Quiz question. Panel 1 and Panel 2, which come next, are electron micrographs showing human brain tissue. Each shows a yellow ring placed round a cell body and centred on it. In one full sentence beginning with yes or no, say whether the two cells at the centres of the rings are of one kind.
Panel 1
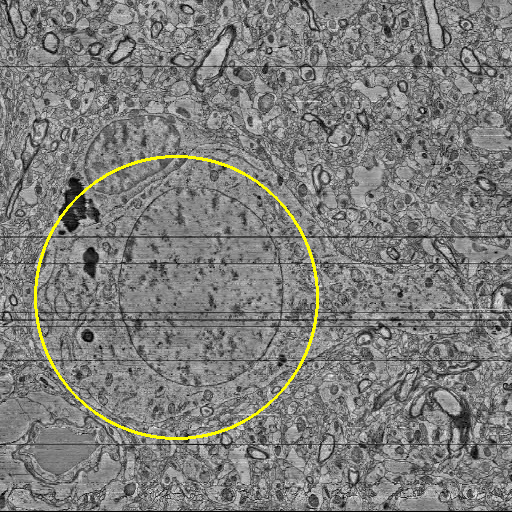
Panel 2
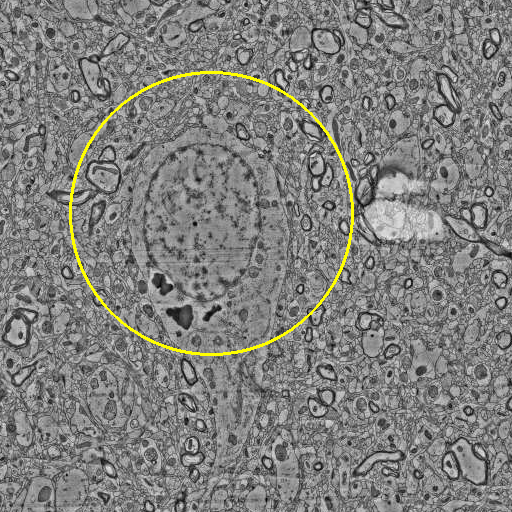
No, Panel 1 and Panel 2 show two kinds of cell at the centre of the ring.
